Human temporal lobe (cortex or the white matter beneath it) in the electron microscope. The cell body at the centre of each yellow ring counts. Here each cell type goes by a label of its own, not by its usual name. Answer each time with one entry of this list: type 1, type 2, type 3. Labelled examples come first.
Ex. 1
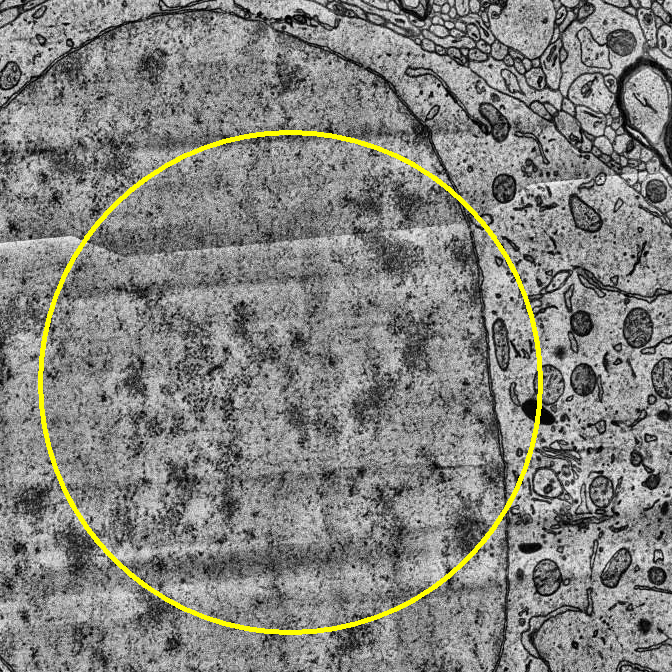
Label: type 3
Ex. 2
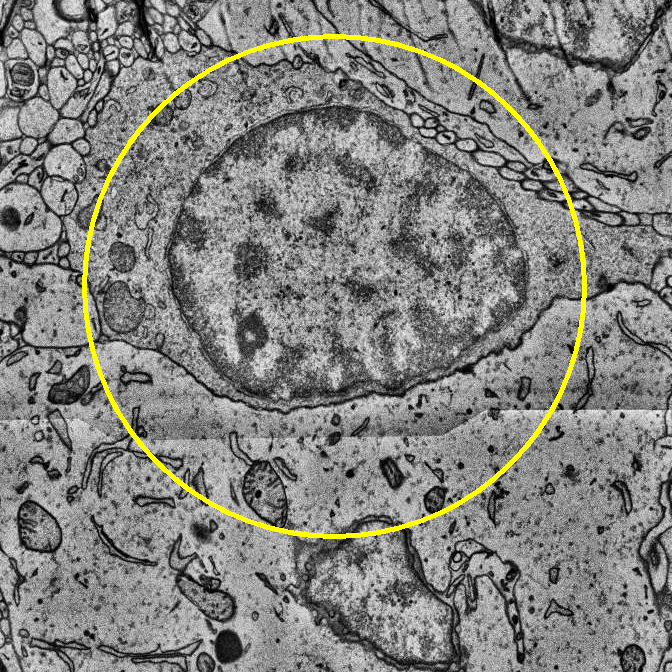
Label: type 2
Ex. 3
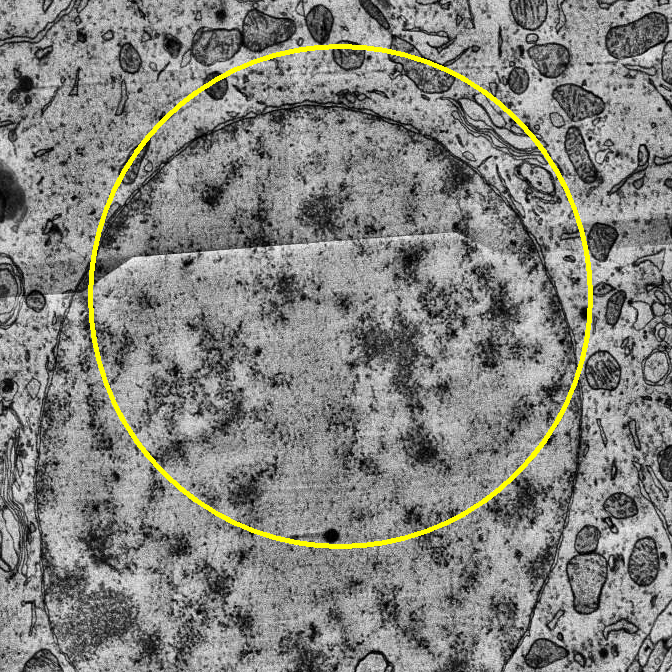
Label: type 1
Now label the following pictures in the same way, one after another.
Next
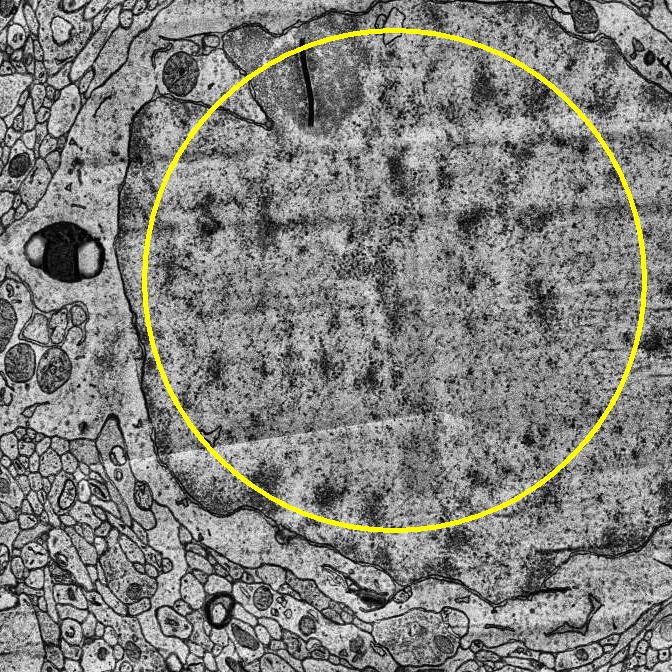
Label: type 1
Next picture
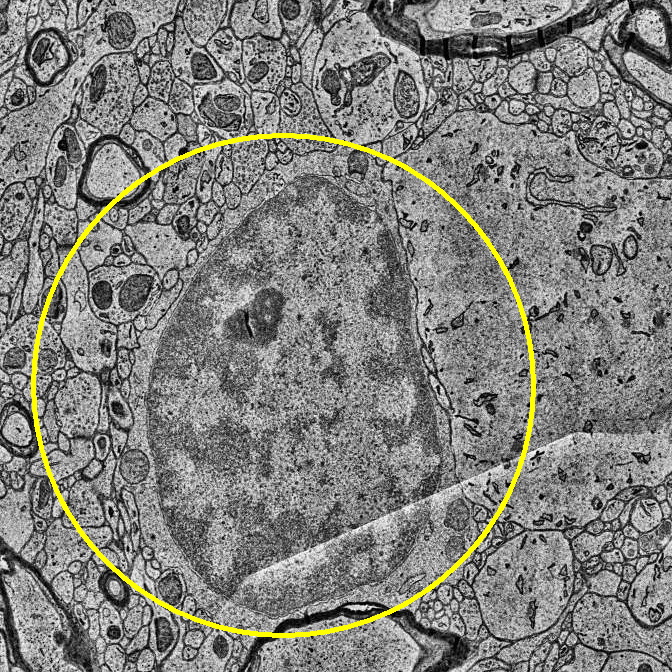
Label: type 2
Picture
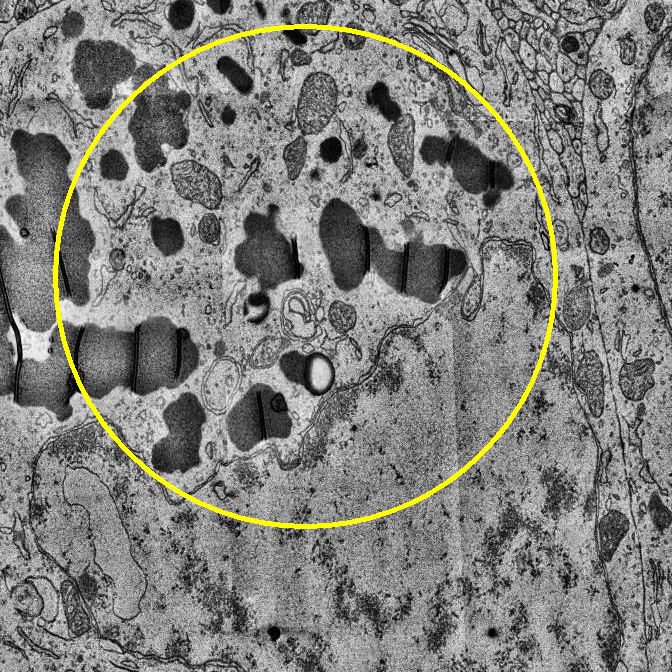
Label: type 1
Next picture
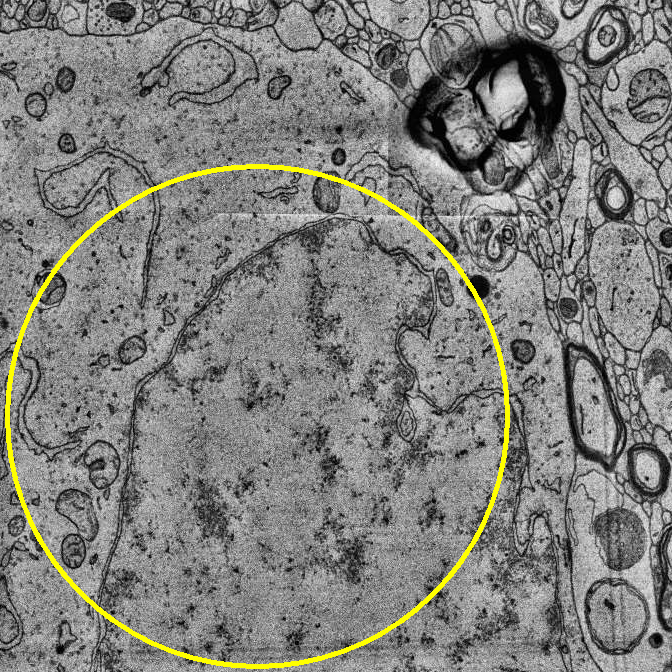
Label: type 1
